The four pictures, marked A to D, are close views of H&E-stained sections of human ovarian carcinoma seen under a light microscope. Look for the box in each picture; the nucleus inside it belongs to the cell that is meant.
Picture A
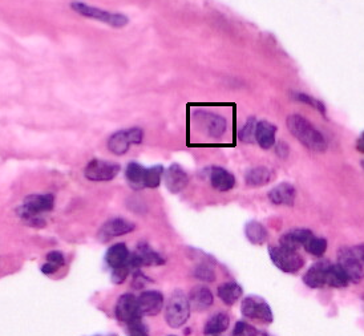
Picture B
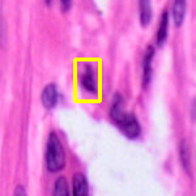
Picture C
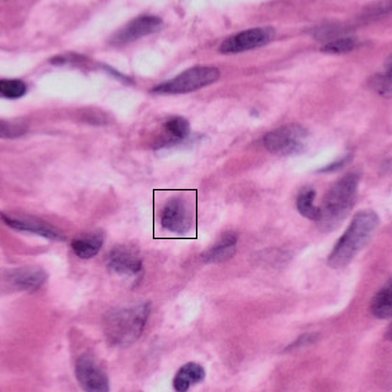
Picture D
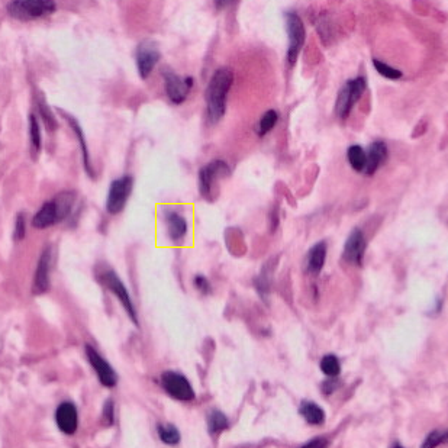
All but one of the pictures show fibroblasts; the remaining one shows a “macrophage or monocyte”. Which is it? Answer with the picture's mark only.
A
